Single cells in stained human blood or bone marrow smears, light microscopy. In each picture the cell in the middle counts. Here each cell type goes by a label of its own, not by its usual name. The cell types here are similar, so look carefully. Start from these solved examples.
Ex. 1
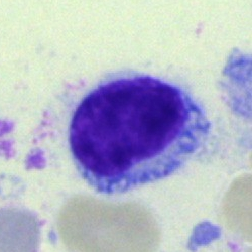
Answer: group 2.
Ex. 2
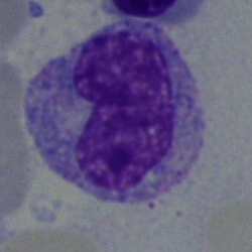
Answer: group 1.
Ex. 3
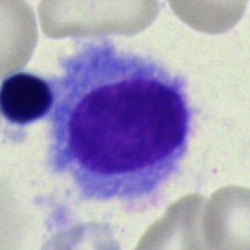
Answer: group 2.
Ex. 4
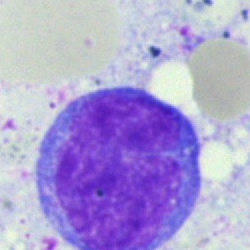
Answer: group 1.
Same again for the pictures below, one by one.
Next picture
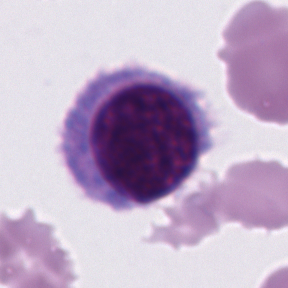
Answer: group 2.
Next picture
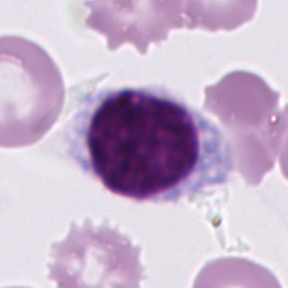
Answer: group 2.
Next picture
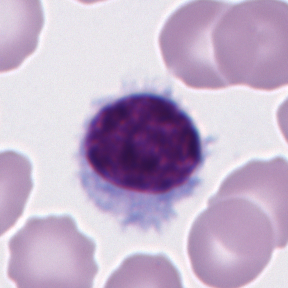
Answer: group 2.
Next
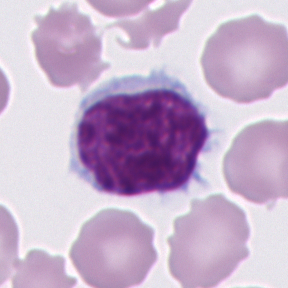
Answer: group 2.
